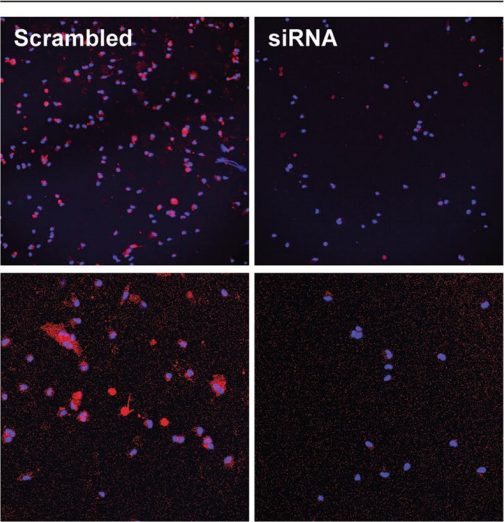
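In the upper left image many cells carry red staining around or over the nucleus, giving them a pinkish look. The lower left image is more magnified-looking, with fewer but larger cells; several are spread out with irregular red cytoplasm and fine processes, and the background is speckled with fine red dots. In the two right images the cells show blue nuclei with only faint or no red around them, and the lower right one again has a dotted red background.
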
